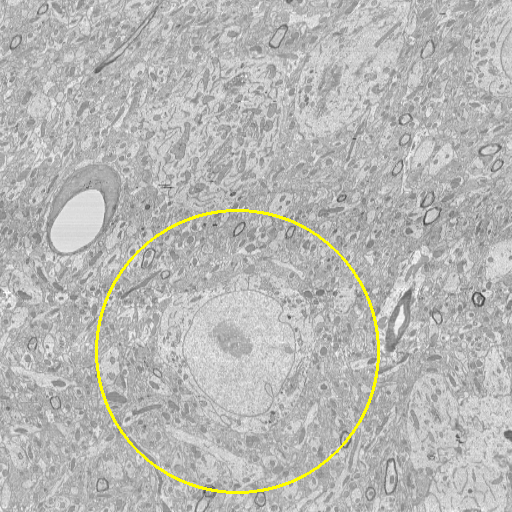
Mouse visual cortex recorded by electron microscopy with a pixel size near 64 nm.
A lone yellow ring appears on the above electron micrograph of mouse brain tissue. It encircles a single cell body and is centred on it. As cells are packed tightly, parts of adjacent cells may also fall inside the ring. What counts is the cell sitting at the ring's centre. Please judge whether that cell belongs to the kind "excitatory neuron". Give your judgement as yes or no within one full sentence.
Yes, the cell lying at the centre of the ring in the picture belongs to this kind.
